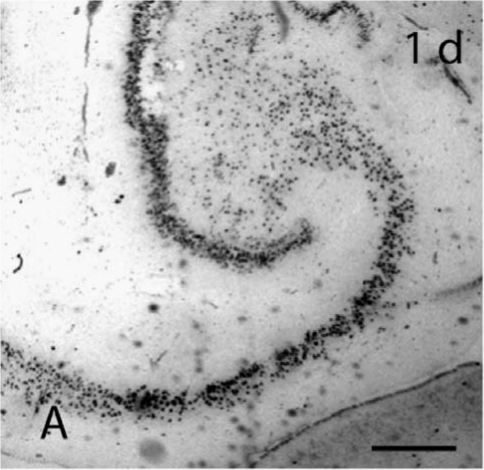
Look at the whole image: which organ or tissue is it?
hippocampus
